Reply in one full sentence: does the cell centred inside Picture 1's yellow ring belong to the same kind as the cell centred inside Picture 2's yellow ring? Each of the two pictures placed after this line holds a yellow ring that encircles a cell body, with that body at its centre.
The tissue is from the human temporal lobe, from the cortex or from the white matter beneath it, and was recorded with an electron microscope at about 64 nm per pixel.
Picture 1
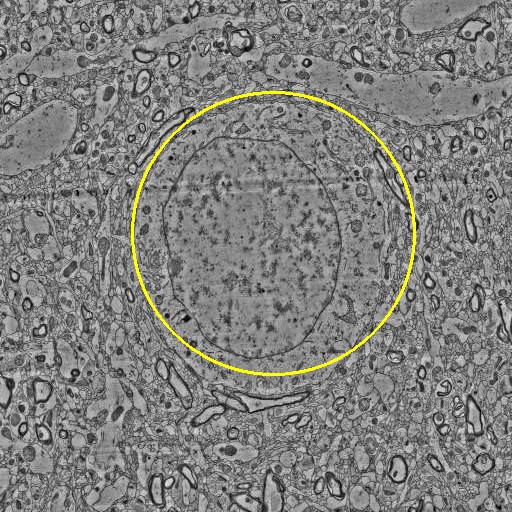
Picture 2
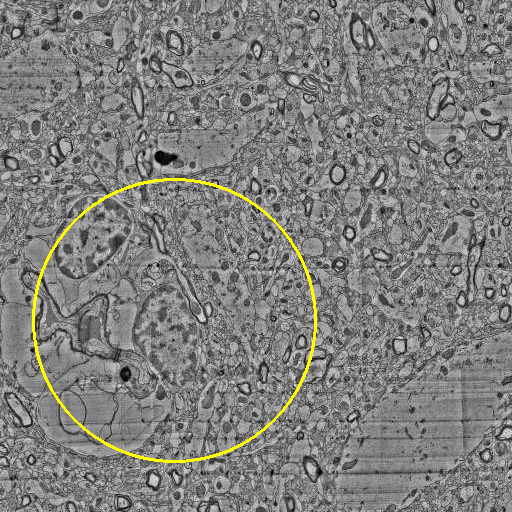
No, the ring-centred cells in Picture 1 and Picture 2 are of two separate kinds.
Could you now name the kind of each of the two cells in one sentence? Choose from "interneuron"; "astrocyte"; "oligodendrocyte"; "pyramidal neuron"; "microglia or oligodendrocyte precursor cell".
The first ring encloses a pyramidal neuron; the second ring encloses an oligodendrocyte.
